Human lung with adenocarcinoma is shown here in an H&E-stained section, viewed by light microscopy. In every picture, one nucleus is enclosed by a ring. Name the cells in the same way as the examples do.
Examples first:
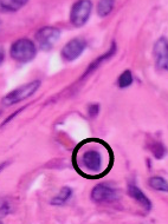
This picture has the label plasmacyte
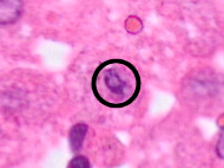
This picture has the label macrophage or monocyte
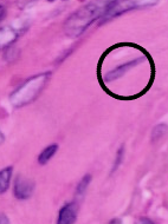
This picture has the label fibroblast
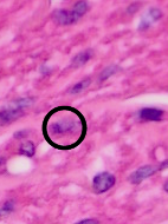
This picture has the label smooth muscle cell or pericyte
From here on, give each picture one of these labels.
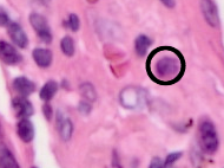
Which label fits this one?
plasmacyte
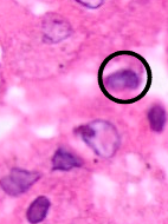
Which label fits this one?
macrophage or monocyte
